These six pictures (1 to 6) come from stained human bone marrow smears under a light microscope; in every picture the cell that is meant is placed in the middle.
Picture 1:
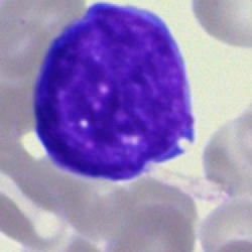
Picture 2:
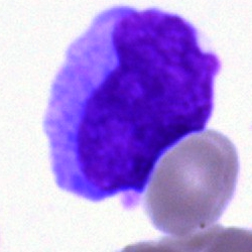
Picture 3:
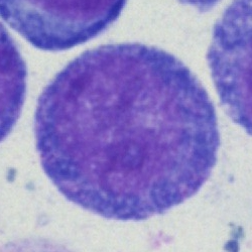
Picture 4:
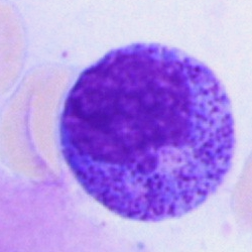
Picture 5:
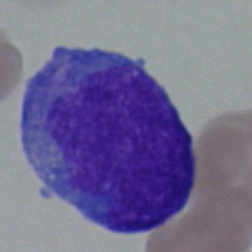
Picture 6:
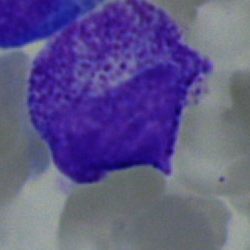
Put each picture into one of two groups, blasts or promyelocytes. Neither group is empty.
1: blast
2: blast
3: promyelocyte
4: promyelocyte
5: blast
6: promyelocyte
